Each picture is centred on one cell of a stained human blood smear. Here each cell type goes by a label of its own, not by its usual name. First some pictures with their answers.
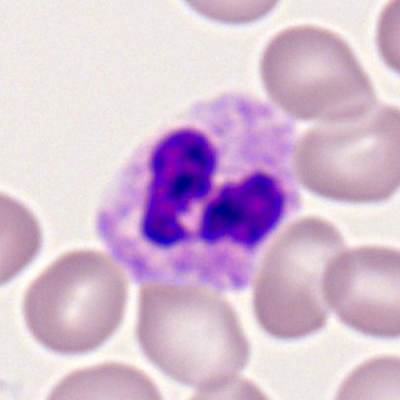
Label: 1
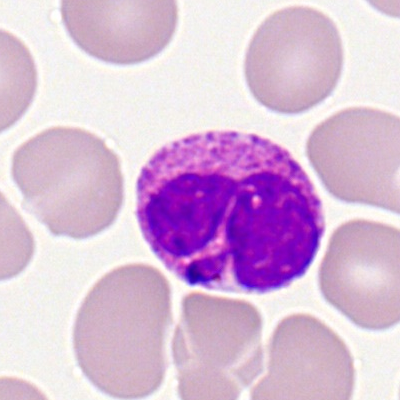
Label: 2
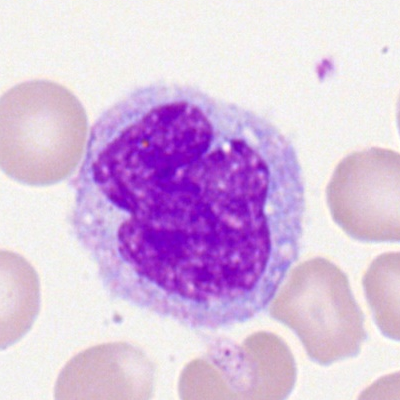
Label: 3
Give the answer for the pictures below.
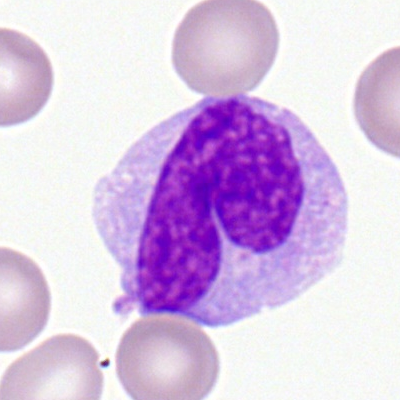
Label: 3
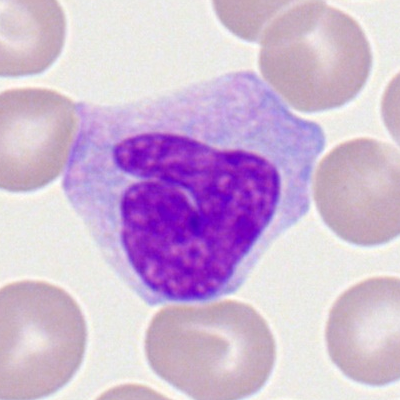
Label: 3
